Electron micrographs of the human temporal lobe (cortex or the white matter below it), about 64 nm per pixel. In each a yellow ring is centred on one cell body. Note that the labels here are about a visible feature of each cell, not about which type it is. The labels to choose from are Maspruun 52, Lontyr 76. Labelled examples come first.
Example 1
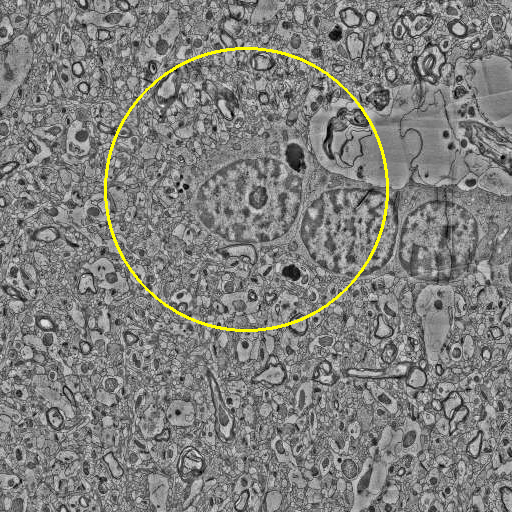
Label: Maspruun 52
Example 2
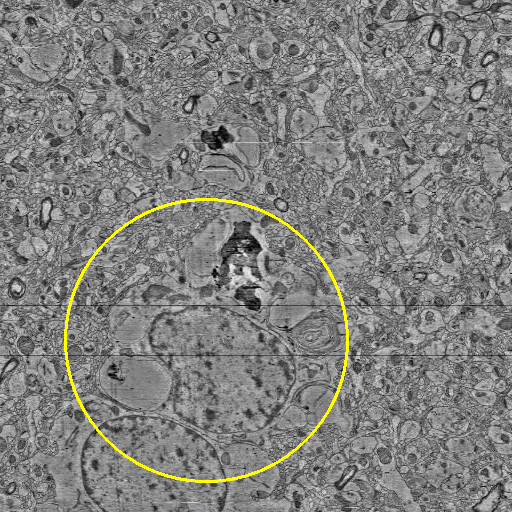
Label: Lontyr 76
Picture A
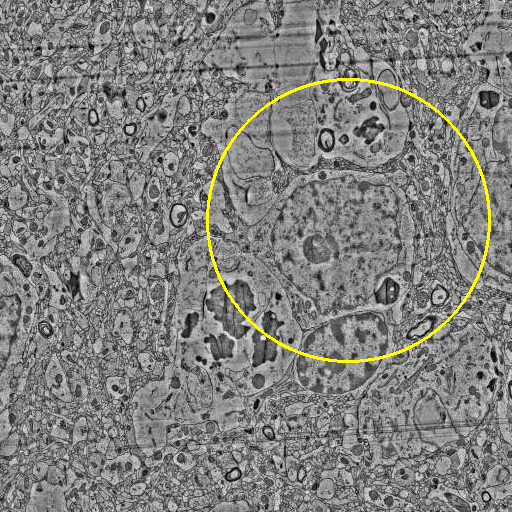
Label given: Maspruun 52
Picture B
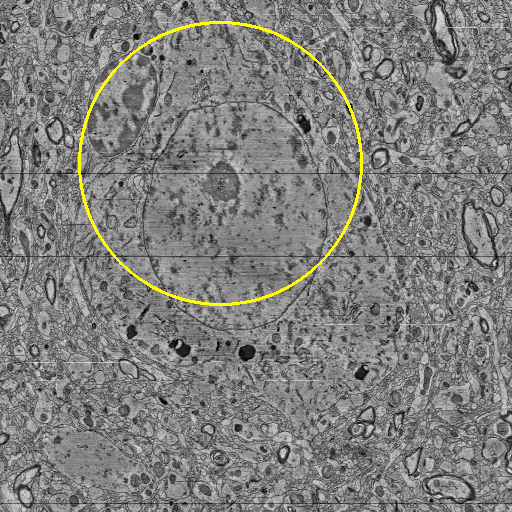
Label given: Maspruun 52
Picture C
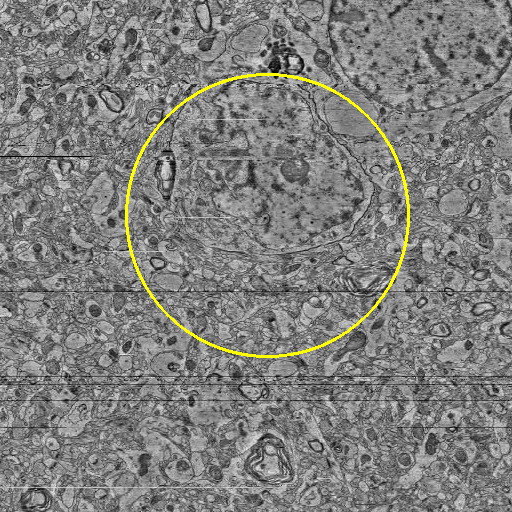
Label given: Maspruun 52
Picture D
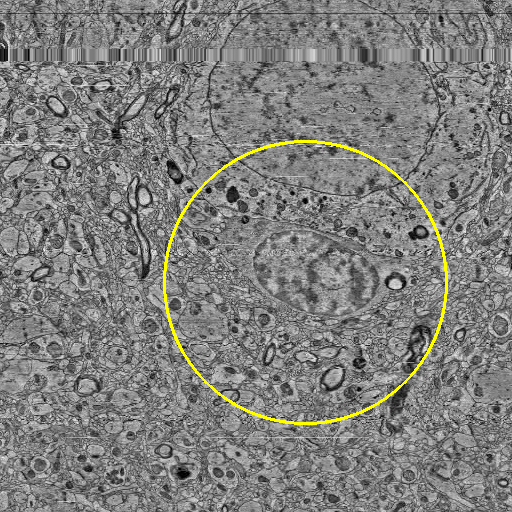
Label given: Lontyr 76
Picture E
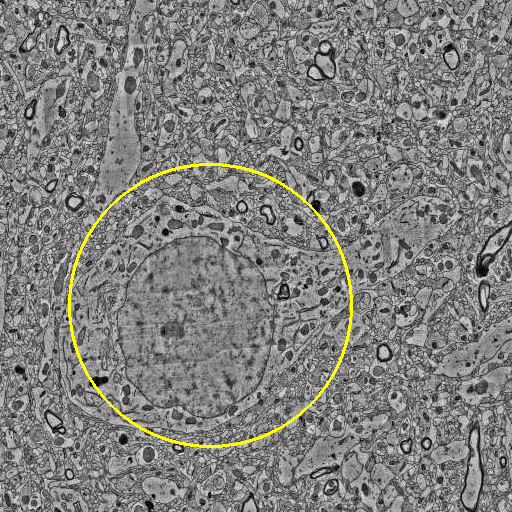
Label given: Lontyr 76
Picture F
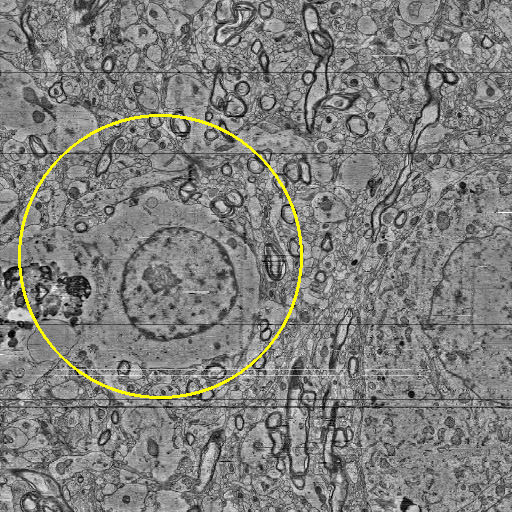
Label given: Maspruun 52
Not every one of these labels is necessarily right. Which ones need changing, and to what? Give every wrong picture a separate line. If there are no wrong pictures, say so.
E: not Lontyr 76 but Maspruun 52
